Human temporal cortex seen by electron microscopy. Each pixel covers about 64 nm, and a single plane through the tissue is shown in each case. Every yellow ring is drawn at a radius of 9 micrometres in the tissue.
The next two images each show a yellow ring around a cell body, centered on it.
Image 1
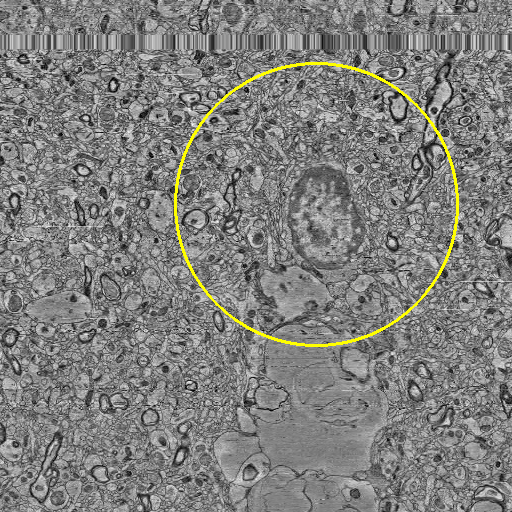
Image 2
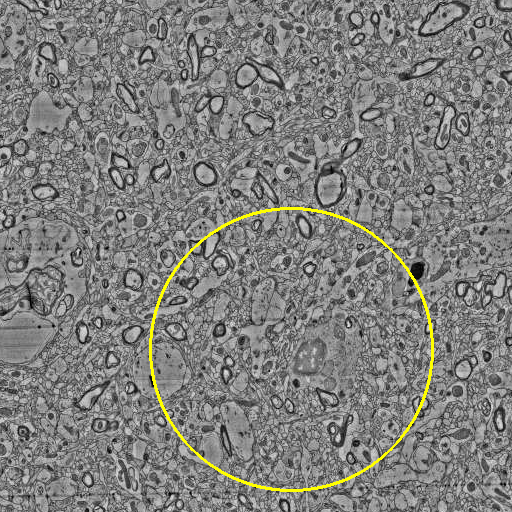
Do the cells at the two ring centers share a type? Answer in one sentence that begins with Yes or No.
Yes, across the two images the cells at the ring centers share one type.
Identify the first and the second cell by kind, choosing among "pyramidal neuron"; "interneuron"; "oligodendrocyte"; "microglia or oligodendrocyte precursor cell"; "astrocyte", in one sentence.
Each of the two rings is centred on an oligodendrocyte.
